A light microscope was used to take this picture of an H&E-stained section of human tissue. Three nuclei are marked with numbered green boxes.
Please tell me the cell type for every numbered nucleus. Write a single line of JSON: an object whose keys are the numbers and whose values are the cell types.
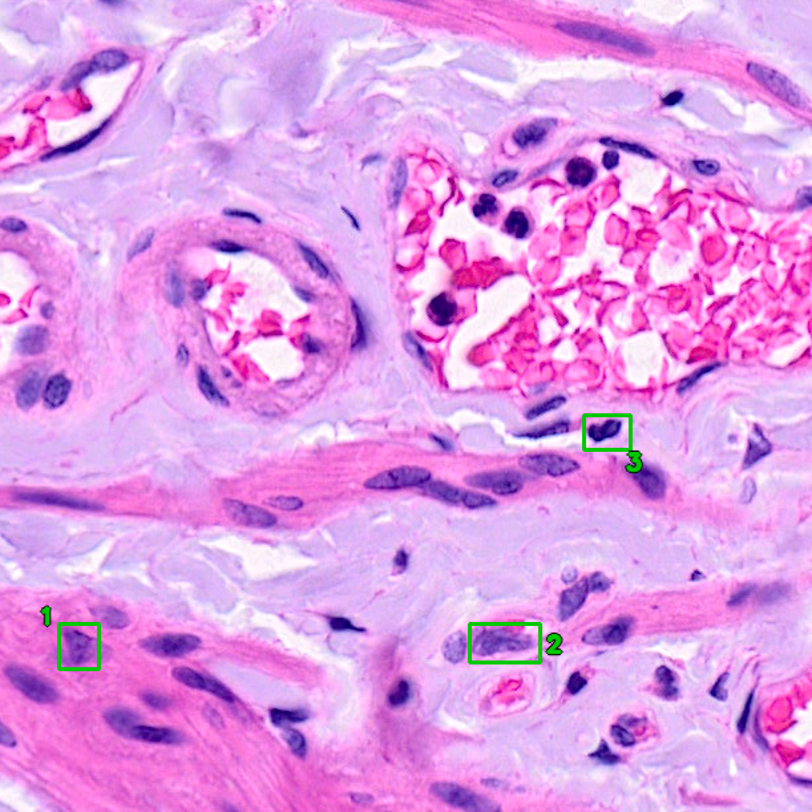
{"1": "smooth muscle cell", "2": "endothelial cell", "3": "lymphocyte"}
